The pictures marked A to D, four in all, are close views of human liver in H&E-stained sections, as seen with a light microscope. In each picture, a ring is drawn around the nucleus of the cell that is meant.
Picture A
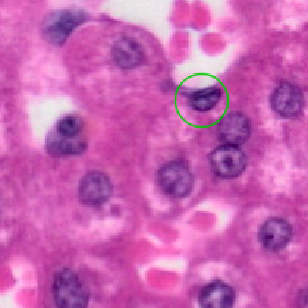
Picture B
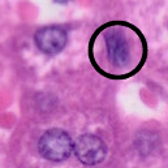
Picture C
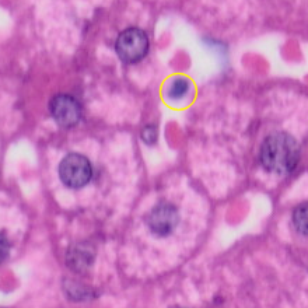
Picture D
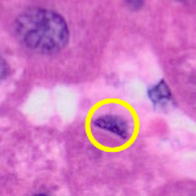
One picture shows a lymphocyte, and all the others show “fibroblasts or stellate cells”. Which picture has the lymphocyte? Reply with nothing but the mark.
C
